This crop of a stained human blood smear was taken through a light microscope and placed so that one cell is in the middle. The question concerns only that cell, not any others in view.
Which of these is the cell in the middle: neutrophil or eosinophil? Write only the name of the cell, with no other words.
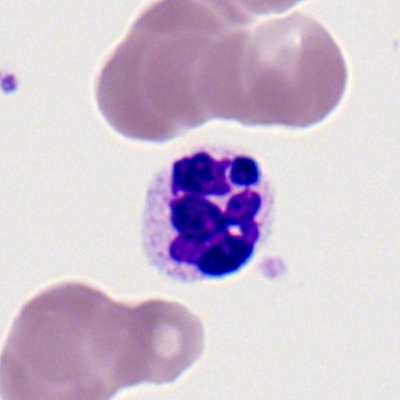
neutrophil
